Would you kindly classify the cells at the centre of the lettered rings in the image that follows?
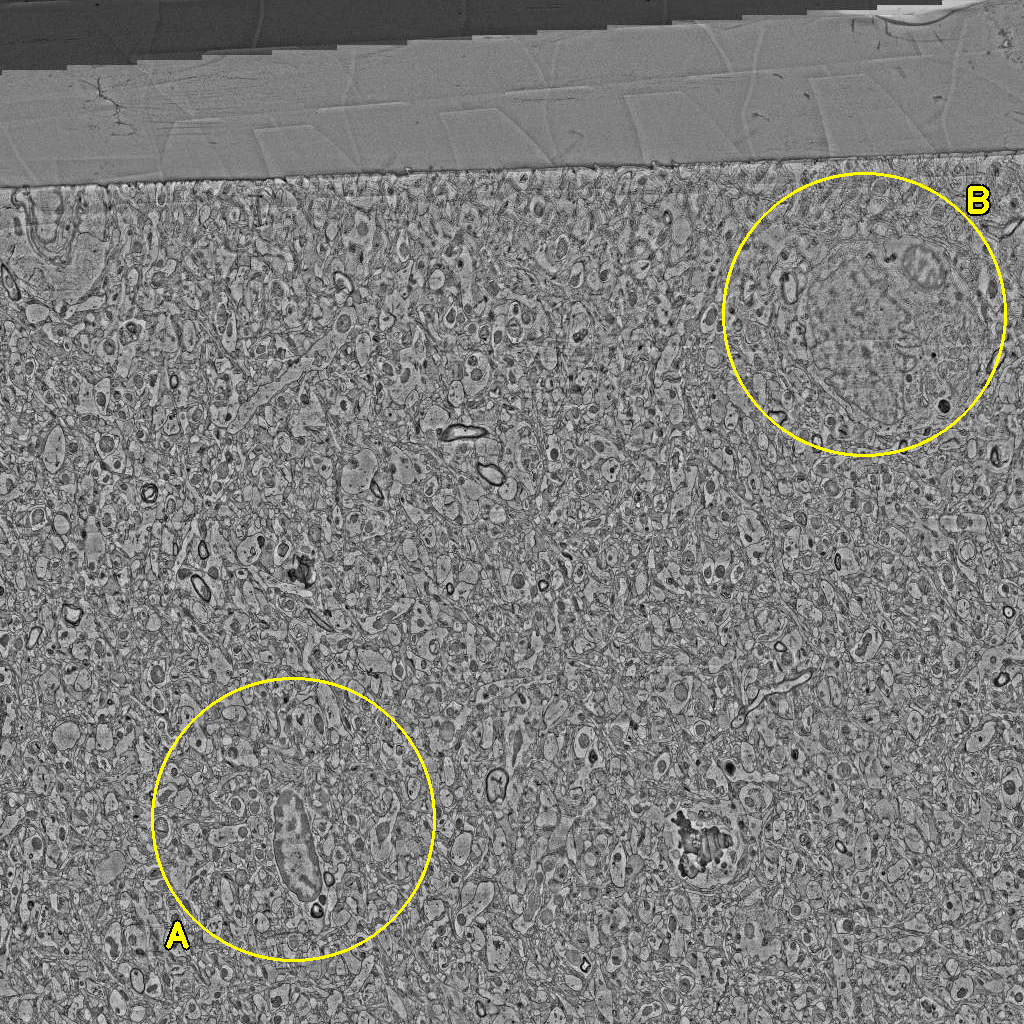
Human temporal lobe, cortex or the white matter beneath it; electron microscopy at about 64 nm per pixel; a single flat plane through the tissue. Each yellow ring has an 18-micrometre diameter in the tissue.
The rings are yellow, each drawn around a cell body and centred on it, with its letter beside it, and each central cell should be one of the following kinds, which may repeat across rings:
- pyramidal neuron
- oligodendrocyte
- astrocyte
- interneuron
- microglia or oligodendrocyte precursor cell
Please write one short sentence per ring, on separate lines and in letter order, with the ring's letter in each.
The kind of cell at the centre of ring A is a microglial cell or oligodendrocyte precursor cell.
The kind of cell at the centre of ring B is an interneuron.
